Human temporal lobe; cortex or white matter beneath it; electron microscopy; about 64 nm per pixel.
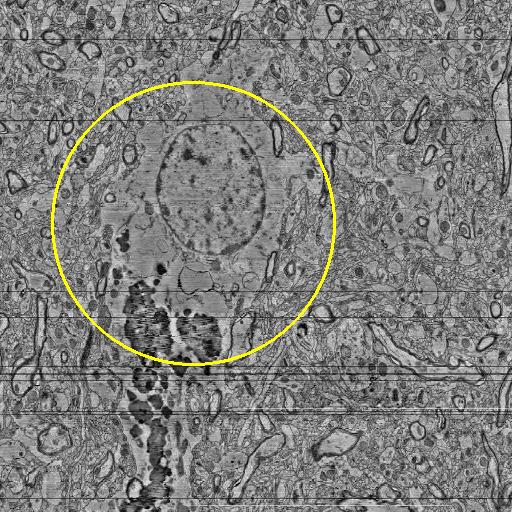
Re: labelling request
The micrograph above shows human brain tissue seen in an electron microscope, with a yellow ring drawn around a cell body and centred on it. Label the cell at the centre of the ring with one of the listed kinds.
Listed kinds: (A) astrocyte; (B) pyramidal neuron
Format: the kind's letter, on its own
A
